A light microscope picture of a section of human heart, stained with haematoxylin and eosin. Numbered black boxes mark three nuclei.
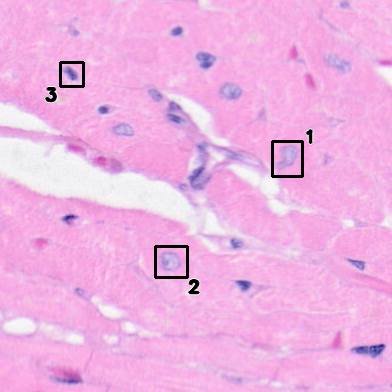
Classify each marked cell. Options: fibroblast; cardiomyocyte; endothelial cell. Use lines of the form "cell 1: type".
cell 1: cardiomyocyte
cell 2: cardiomyocyte
cell 3: endothelial cell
